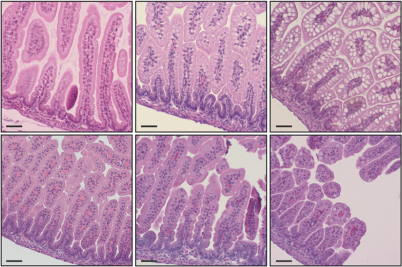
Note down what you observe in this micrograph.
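These are sections of small intestine. In some fields the villi are cut lengthwise, and in others they are cut across, so they appear as rounded profiles ringed by epithelium.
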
